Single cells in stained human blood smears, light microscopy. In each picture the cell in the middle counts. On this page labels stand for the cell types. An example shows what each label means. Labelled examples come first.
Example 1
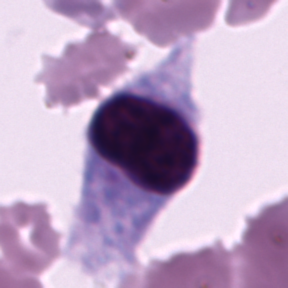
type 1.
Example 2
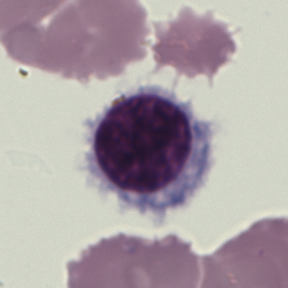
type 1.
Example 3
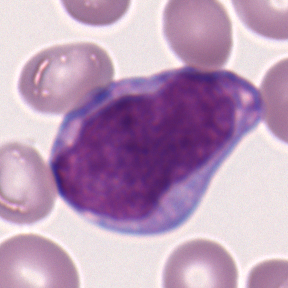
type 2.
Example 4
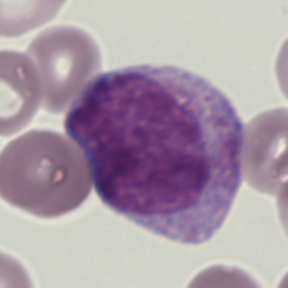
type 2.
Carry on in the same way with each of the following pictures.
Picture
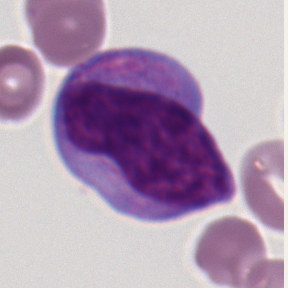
type 2.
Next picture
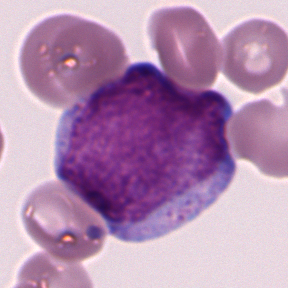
type 2.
